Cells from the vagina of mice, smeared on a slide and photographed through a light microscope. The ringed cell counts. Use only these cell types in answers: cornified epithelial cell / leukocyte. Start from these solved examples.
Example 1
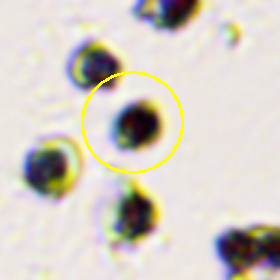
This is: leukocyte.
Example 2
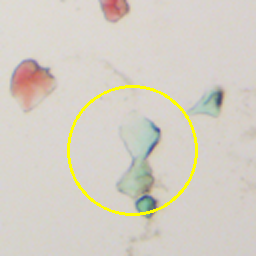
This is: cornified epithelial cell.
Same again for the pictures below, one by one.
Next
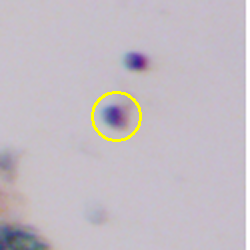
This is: leukocyte.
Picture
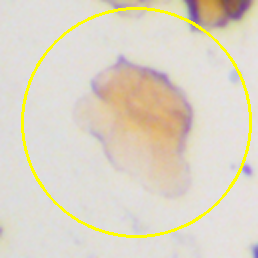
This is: cornified epithelial cell.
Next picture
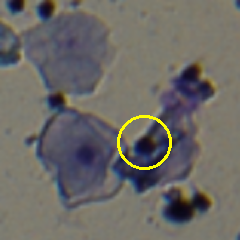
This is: leukocyte.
